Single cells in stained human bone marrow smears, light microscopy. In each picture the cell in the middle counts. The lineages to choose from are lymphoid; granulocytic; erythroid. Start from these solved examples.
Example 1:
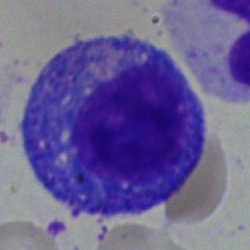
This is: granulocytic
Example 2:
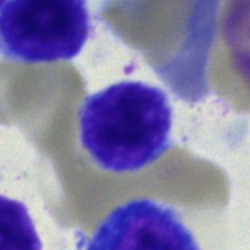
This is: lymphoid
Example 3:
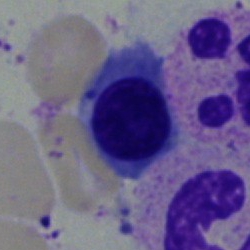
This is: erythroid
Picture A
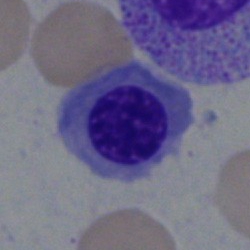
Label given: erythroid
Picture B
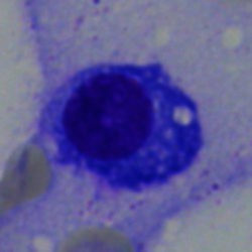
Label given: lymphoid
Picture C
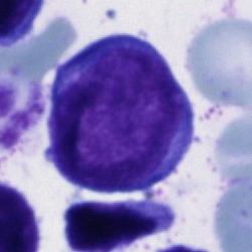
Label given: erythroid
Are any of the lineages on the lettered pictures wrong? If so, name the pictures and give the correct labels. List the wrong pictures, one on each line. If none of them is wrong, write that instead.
Nothing to fix; every label fits.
